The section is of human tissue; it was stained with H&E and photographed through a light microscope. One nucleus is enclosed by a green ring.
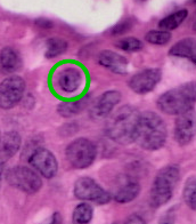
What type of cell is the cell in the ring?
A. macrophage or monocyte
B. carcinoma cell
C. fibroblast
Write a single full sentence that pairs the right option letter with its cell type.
Option A gets it right, as the cell in the ring is a macrophage or monocyte.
